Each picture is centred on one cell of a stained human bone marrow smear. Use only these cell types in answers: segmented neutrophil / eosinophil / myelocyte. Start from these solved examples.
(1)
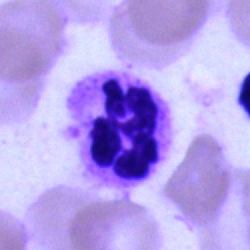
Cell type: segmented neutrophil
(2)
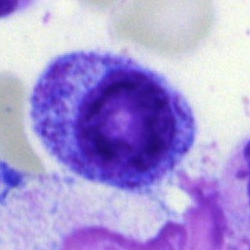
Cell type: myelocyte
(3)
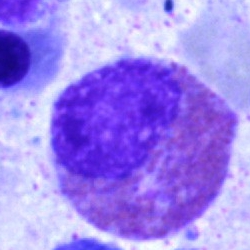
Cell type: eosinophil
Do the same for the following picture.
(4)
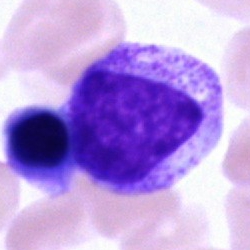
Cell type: myelocyte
